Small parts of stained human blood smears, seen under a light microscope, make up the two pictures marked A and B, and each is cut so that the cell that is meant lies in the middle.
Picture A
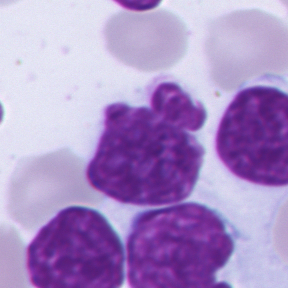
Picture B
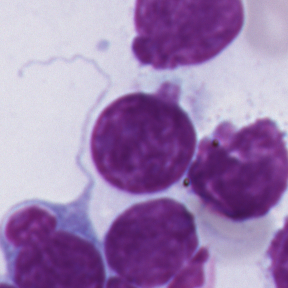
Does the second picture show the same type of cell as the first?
yes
